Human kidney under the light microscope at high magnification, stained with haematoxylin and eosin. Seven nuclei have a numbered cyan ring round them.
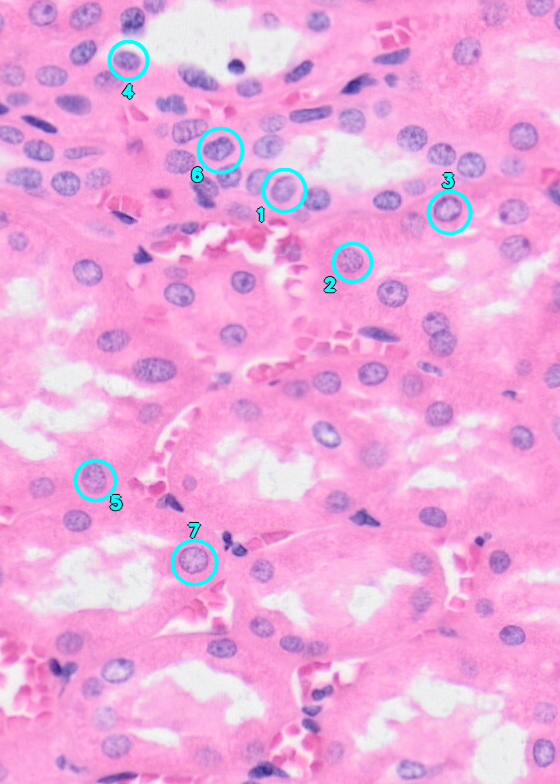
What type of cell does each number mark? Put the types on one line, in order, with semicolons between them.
collecting duct cell; proximal tubule cell; proximal tubule cell; loop of Henle or distal tubule cell; proximal tubule cell; collecting duct cell; proximal tubule cell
